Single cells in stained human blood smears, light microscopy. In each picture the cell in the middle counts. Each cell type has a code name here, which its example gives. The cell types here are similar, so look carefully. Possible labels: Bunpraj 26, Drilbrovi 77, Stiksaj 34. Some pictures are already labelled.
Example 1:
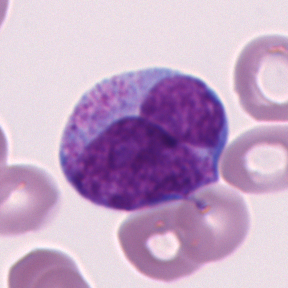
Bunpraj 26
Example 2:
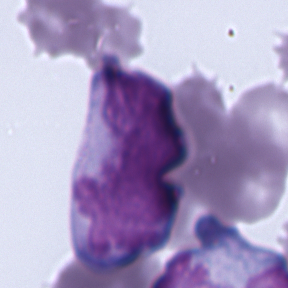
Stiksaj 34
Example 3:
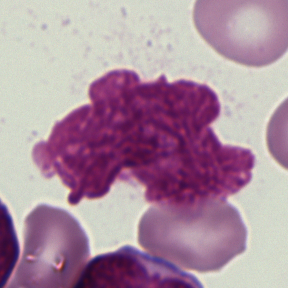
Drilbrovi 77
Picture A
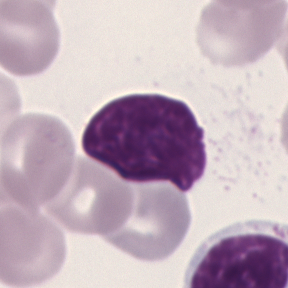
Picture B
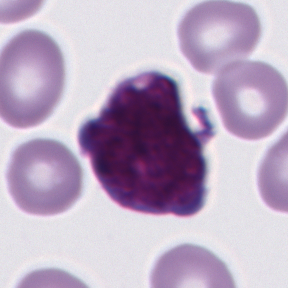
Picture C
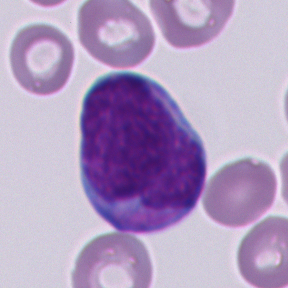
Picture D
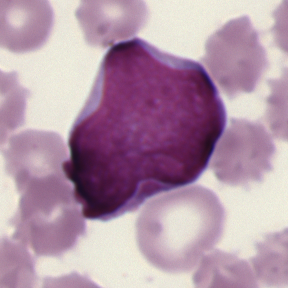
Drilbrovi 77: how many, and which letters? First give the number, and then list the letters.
Count: 1 (A)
